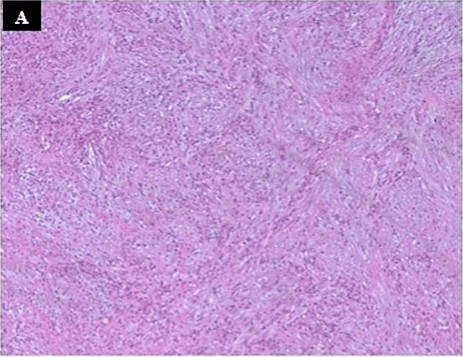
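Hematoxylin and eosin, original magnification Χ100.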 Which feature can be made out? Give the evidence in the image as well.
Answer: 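Short and long fascicular architecture. Spindle cells are grouped in bundles running in different directions. Bundles of varying length intersect across the field.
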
